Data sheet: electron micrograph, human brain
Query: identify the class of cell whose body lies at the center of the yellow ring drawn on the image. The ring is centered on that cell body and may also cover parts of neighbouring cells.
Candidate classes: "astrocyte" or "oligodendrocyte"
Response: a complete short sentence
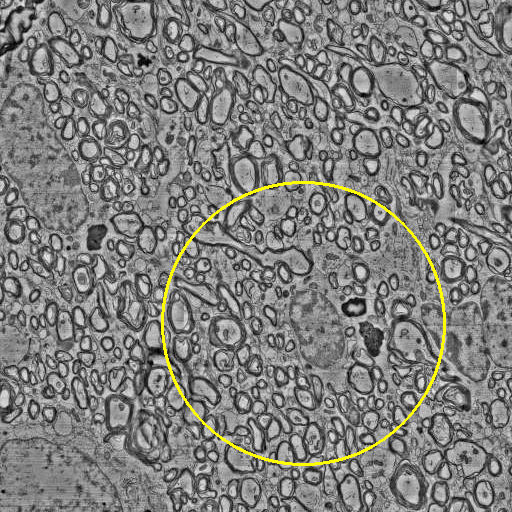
At the center of the ring lies an oligodendrocyte.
